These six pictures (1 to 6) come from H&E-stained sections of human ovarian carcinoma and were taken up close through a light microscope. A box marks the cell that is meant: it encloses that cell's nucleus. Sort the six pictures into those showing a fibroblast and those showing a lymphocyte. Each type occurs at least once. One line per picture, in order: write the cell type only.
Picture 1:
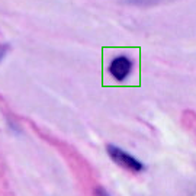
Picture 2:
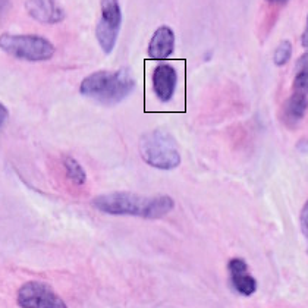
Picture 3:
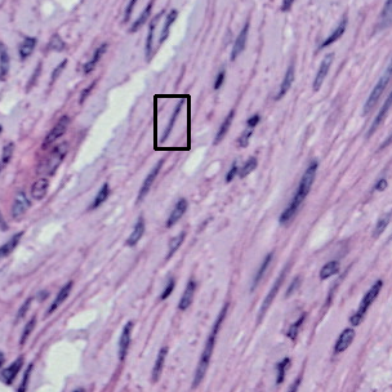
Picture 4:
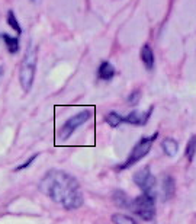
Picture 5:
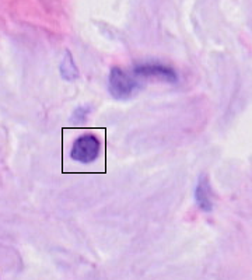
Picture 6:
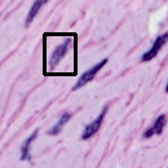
lymphocyte
lymphocyte
fibroblast
fibroblast
lymphocyte
fibroblast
